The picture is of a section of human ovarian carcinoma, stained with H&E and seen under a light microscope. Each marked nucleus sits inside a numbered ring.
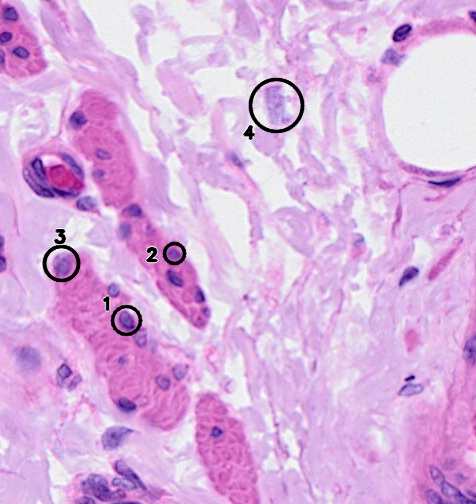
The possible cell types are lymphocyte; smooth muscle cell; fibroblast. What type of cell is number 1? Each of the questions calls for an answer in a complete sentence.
Corresponding to a smooth muscle cell is the cell labelled 1.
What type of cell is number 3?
The cell numbered 3 represents a smooth muscle cell.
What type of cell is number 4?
Looking at the numbered marks, cell 4 is a fibroblast.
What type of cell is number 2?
In this section, the cell tagged 2 is a smooth muscle cell.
